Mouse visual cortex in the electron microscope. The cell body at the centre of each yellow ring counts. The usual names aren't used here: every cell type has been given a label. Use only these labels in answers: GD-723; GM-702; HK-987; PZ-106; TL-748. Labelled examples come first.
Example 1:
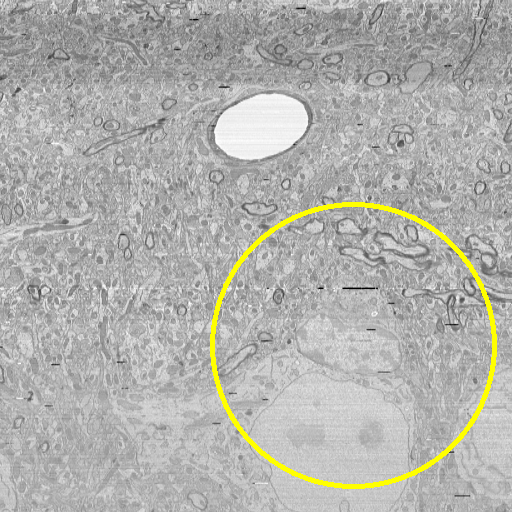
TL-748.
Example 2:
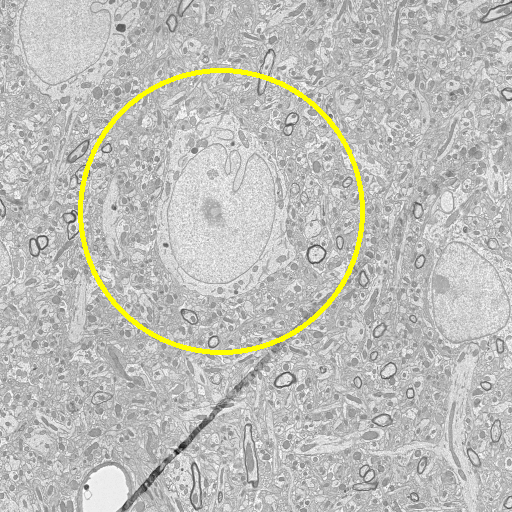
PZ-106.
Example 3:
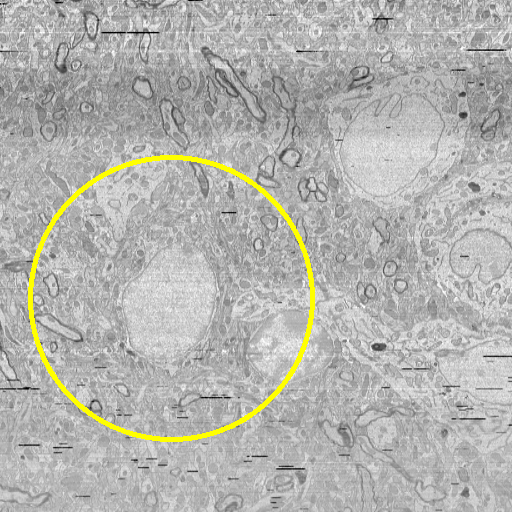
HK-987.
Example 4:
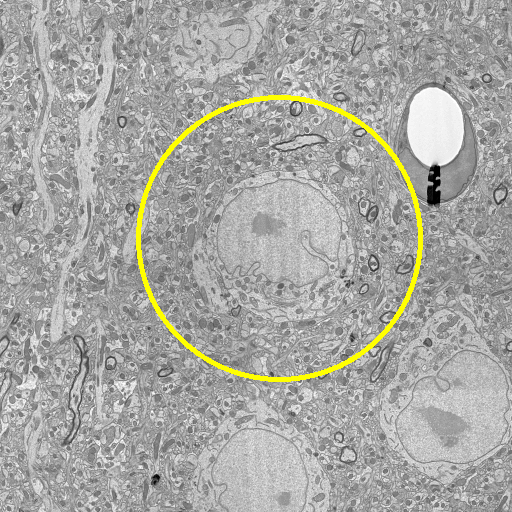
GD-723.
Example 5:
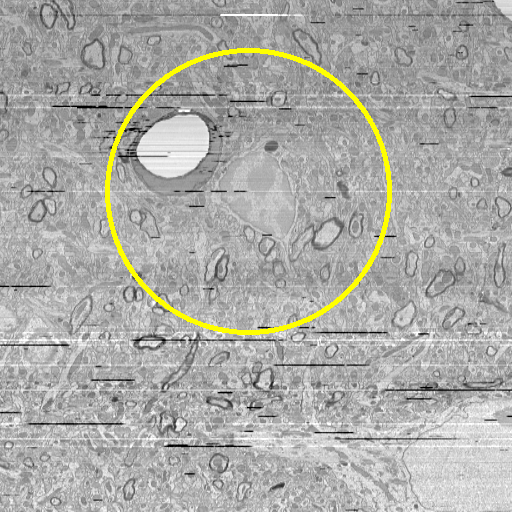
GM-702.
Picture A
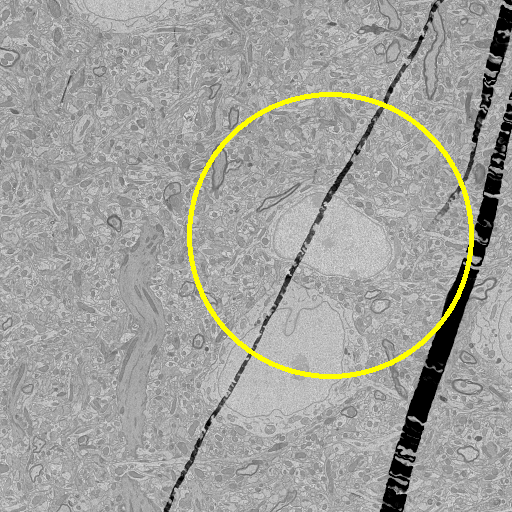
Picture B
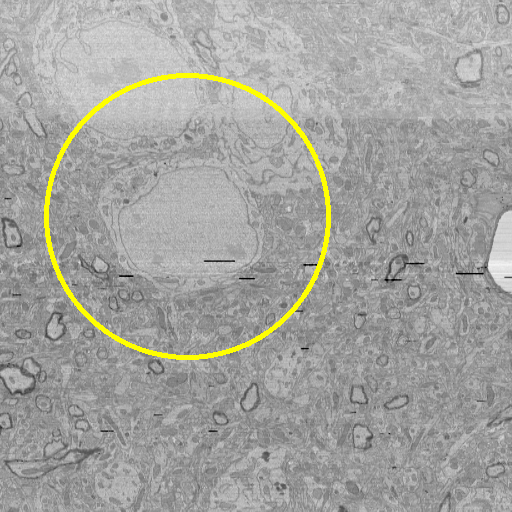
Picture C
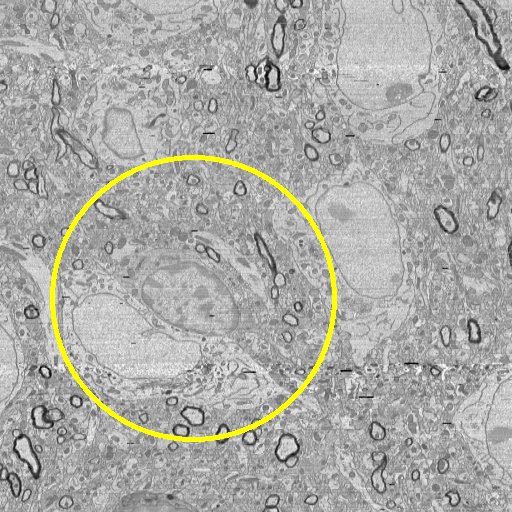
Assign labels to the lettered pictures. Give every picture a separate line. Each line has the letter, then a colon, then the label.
A: HK-987.
B: PZ-106.
C: TL-748.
